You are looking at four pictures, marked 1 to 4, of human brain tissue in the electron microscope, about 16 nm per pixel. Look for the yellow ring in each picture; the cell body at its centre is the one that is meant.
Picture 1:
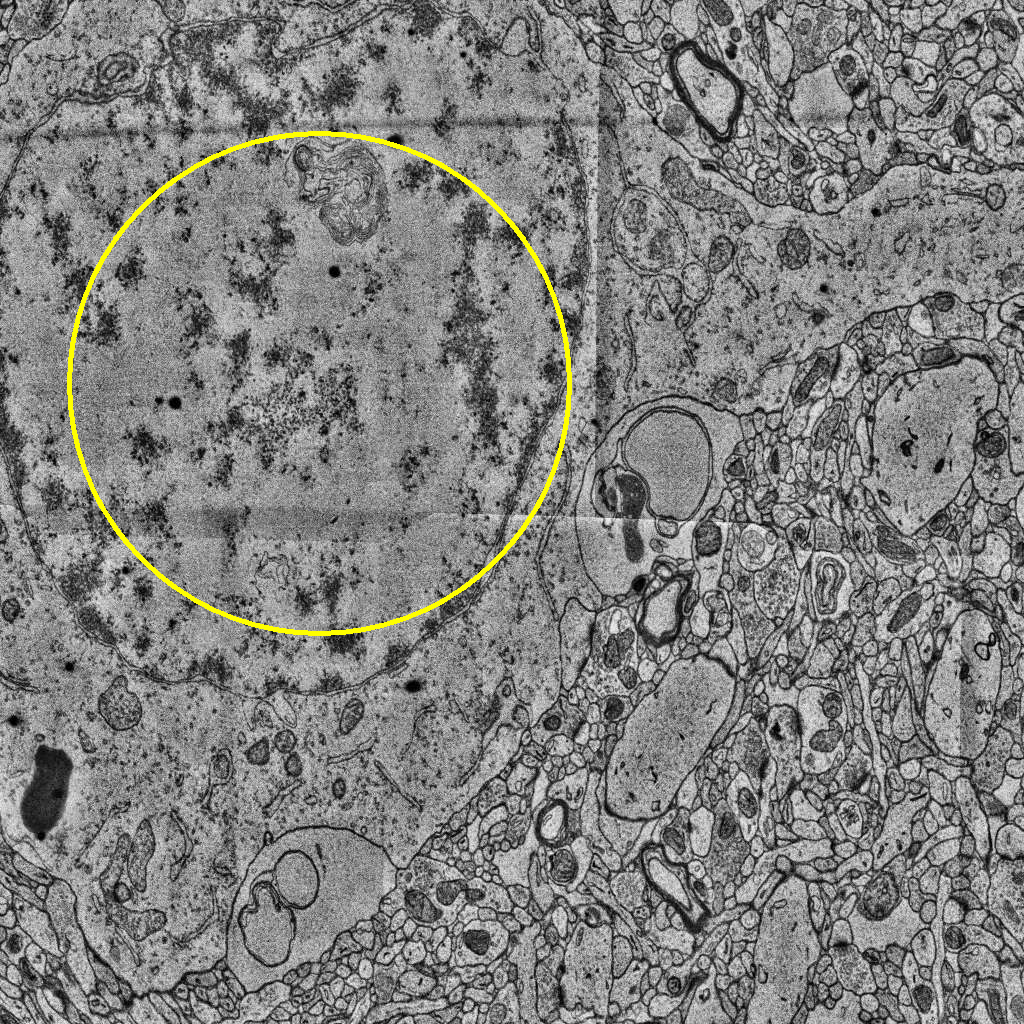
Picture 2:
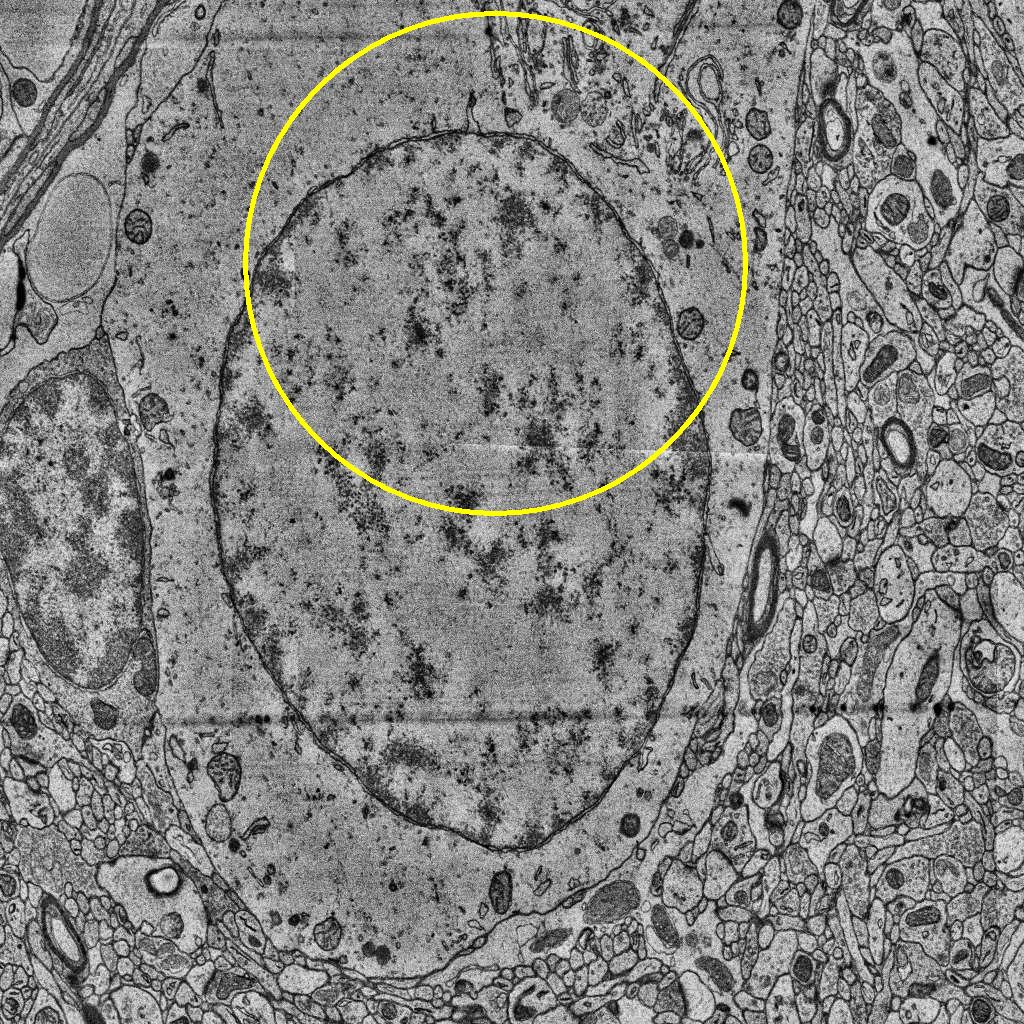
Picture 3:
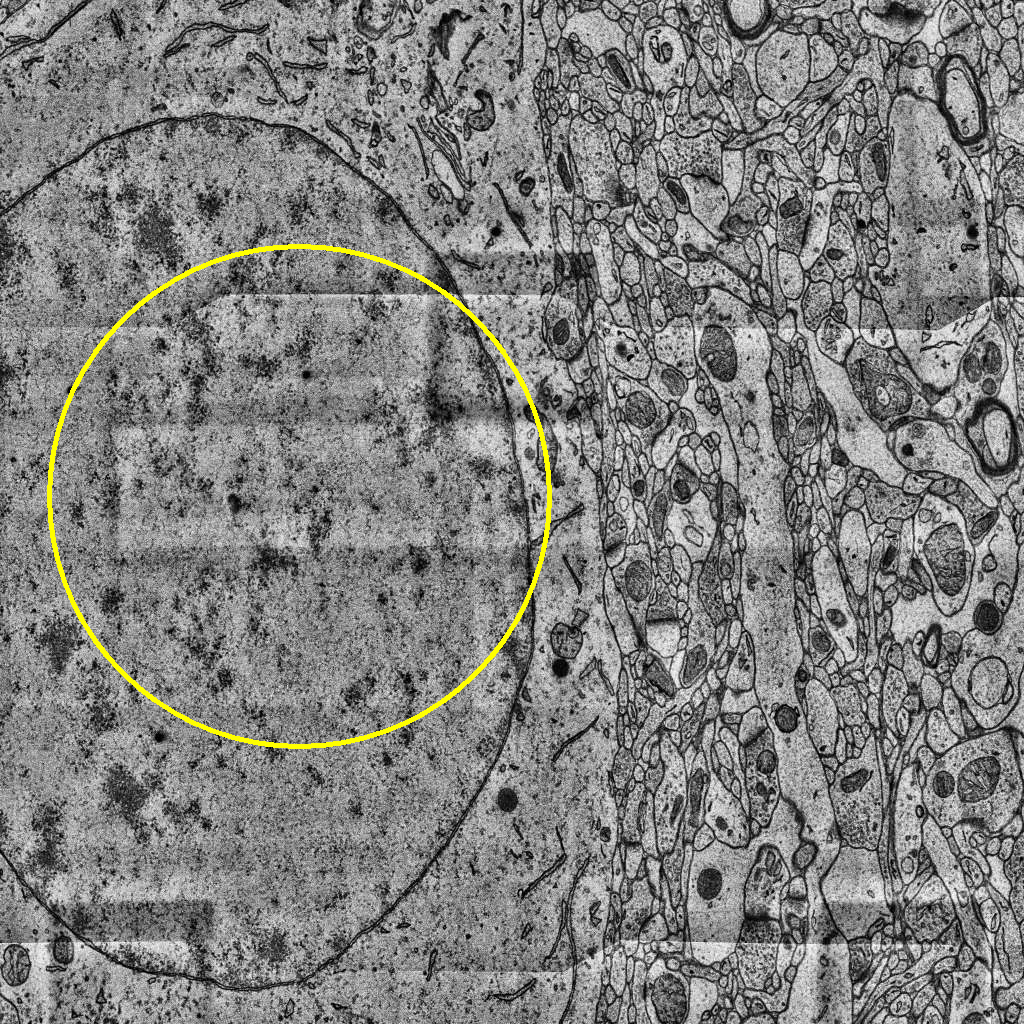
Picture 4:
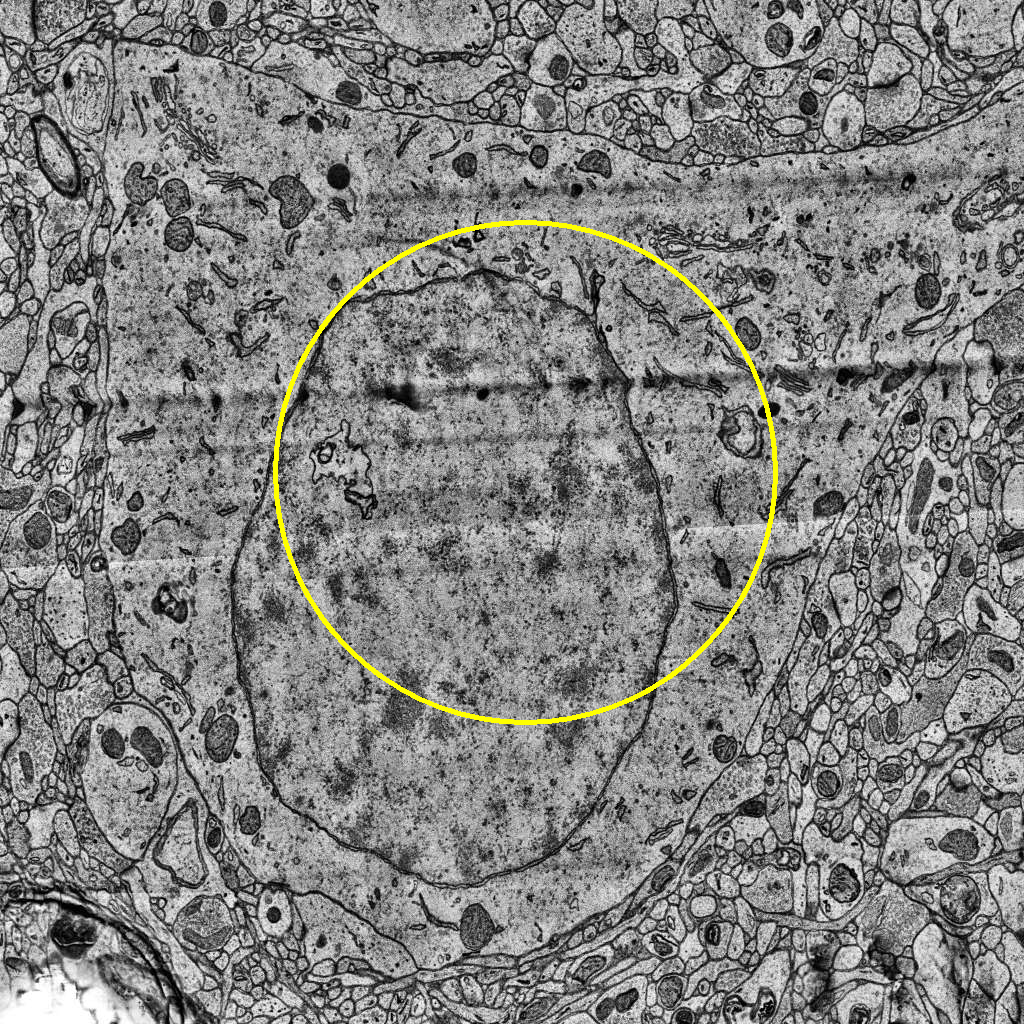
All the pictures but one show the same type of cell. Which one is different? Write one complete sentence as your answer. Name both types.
The different one is picture 1; it shows an interneuron, whereas all the others show pyramidal neurons.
